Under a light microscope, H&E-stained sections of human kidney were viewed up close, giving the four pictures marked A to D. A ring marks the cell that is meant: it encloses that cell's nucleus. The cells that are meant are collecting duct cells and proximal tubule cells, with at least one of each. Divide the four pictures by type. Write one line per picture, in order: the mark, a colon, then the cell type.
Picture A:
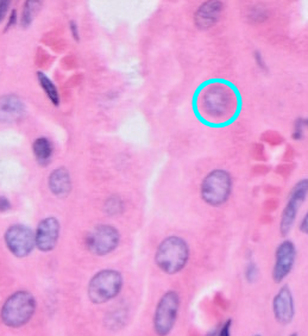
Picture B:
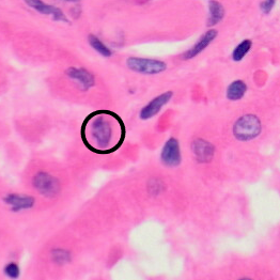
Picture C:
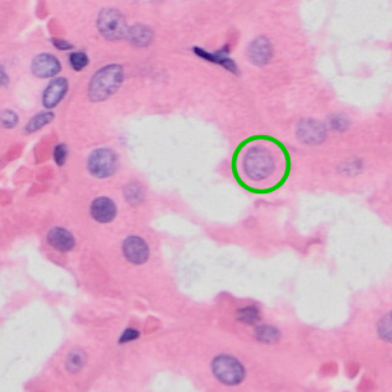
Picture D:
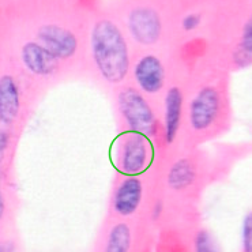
A: proximal tubule cell
B: proximal tubule cell
C: proximal tubule cell
D: collecting duct cell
